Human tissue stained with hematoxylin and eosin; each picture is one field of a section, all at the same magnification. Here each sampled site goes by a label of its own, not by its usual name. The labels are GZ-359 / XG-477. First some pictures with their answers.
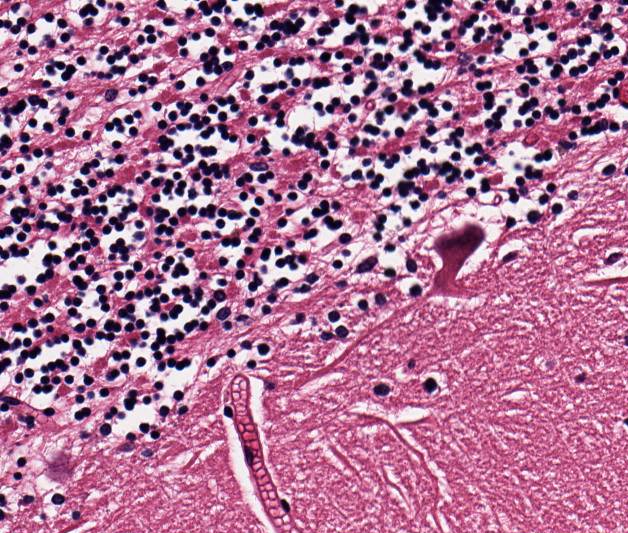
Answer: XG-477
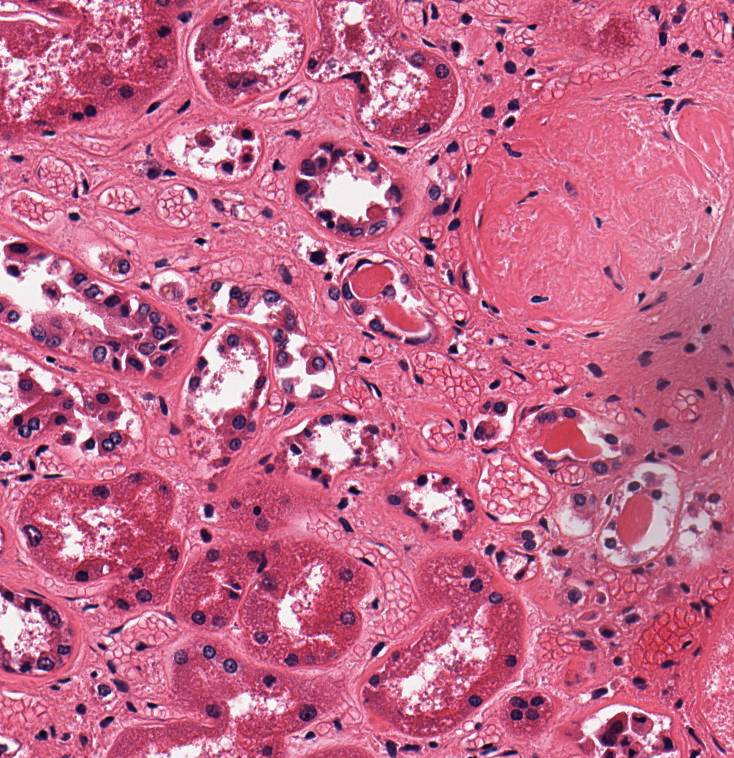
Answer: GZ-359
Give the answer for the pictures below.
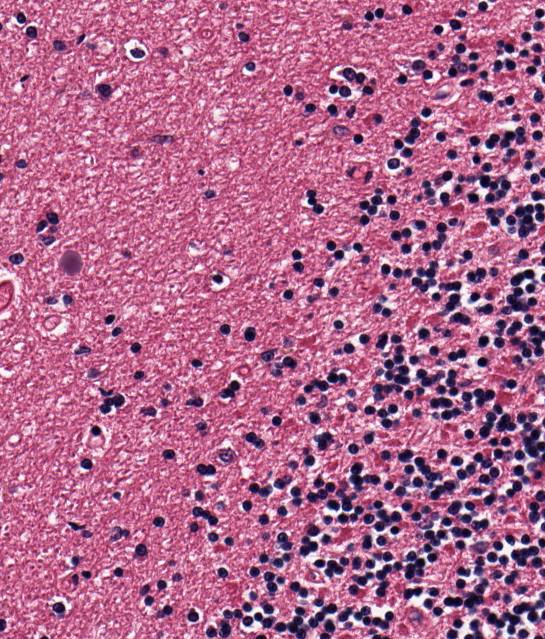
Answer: XG-477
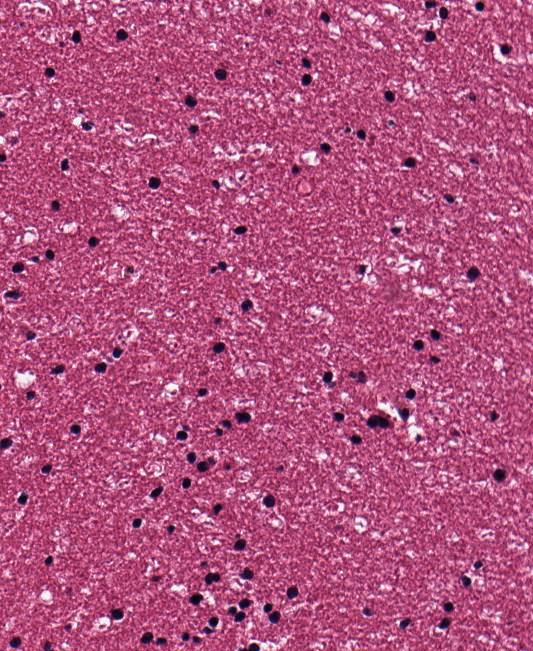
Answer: XG-477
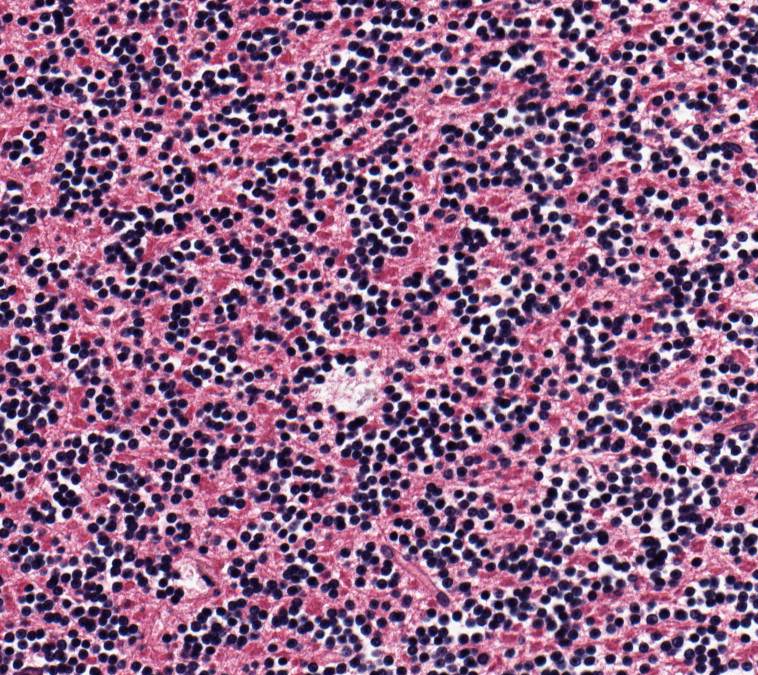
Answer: XG-477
